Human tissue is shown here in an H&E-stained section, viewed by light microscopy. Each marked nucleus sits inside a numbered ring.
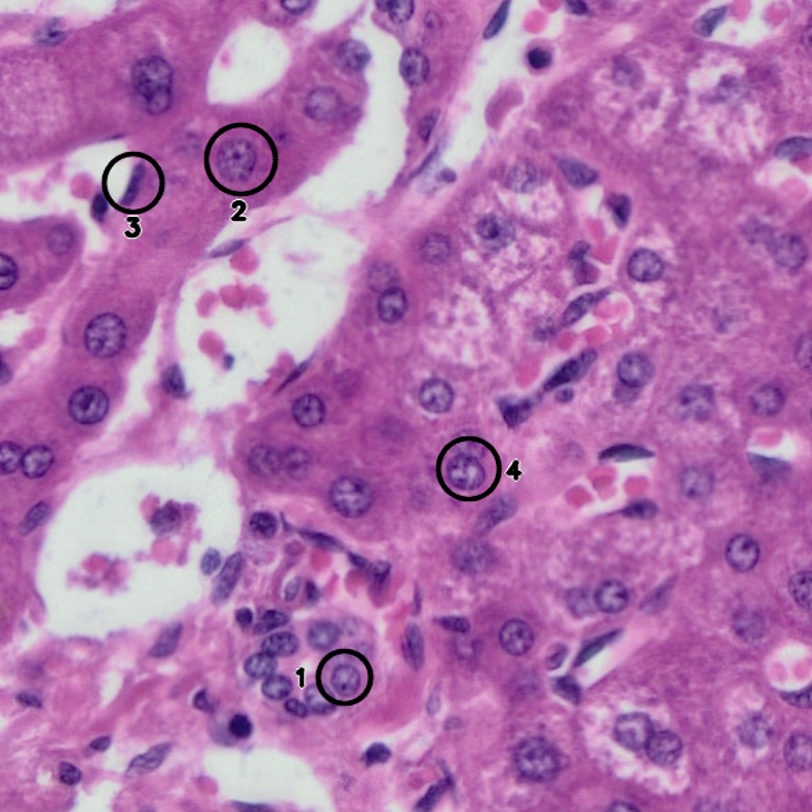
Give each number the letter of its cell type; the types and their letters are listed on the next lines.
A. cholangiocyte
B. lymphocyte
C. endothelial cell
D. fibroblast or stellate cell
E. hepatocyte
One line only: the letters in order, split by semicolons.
A; E; D; E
